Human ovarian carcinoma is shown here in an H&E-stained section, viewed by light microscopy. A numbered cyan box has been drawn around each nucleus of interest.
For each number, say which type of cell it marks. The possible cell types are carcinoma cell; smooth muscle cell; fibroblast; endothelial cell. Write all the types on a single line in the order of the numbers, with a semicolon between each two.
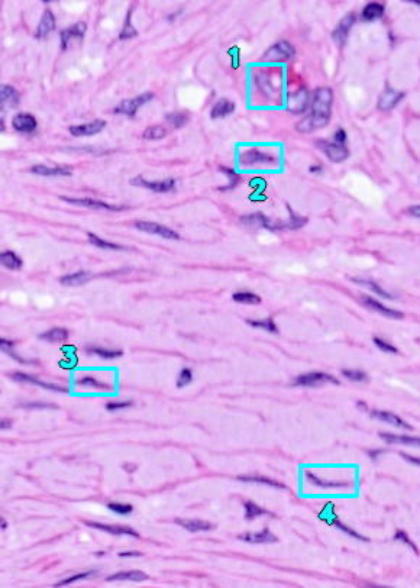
endothelial cell; fibroblast; fibroblast; fibroblast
